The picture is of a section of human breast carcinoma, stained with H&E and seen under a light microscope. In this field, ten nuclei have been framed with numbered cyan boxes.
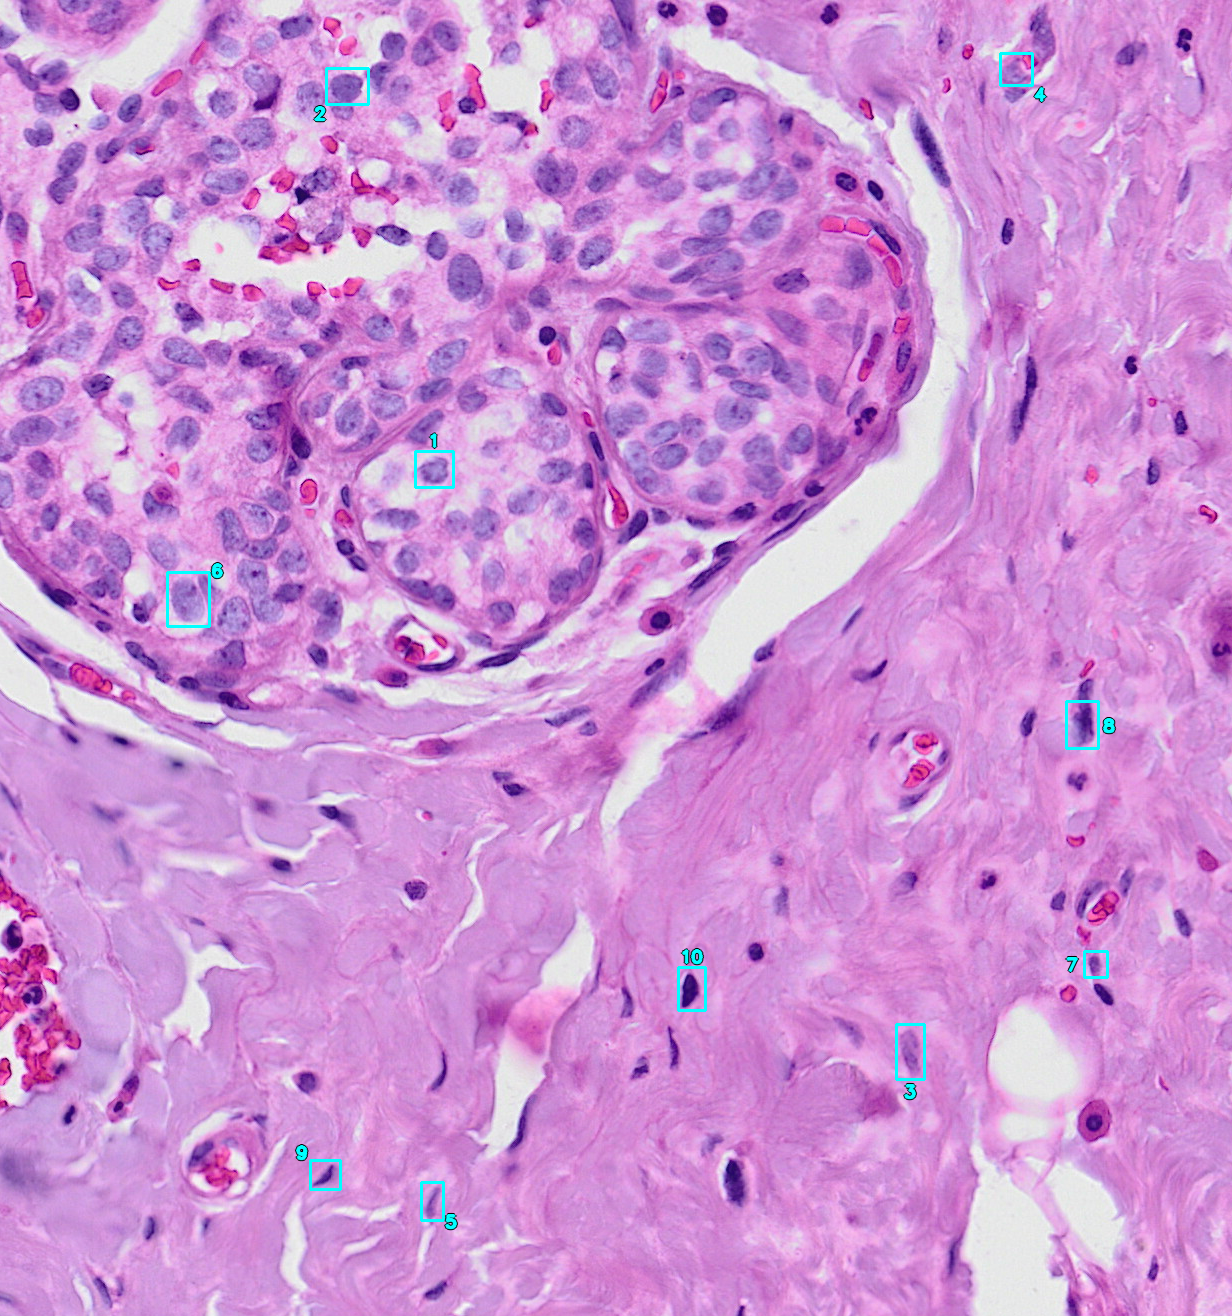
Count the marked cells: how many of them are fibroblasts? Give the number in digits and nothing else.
6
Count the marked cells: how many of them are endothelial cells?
1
